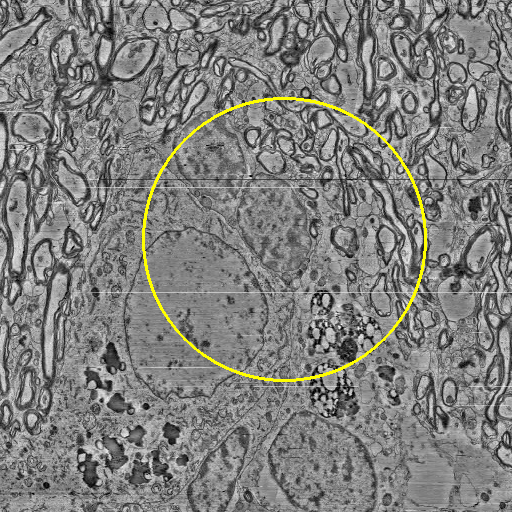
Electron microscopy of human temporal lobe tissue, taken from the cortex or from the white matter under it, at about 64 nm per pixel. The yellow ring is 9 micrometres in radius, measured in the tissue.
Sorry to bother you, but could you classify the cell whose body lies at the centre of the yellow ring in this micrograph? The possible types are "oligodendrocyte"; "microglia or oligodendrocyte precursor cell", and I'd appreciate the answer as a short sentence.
The ringed cell body is that of an oligodendrocyte.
